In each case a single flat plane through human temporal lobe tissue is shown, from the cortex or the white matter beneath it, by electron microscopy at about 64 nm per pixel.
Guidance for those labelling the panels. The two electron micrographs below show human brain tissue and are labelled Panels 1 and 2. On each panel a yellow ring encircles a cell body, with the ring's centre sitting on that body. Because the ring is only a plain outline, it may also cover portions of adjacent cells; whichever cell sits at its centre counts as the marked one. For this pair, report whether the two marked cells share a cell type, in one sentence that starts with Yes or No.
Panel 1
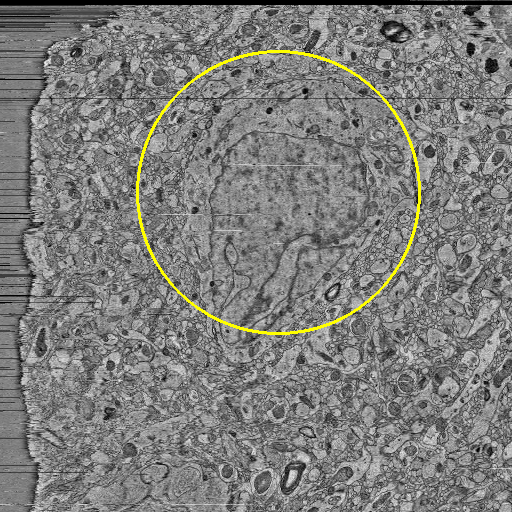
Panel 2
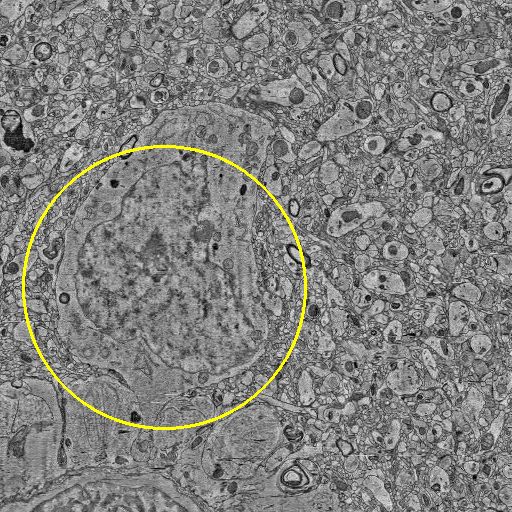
Yes, in Panel 1 and Panel 2 the marked cells at the ring centres share one type.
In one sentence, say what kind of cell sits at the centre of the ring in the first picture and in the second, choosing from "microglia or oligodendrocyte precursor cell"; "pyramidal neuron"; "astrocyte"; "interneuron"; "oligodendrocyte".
Both rings mark an interneuron, one in each picture.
